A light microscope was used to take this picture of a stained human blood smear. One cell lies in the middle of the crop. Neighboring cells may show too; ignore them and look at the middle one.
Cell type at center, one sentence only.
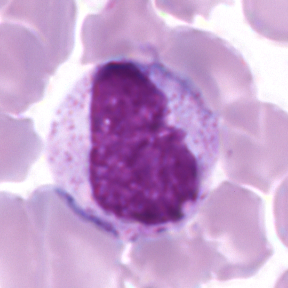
Among the cells in view, the one in the middle is a metamyelocyte.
